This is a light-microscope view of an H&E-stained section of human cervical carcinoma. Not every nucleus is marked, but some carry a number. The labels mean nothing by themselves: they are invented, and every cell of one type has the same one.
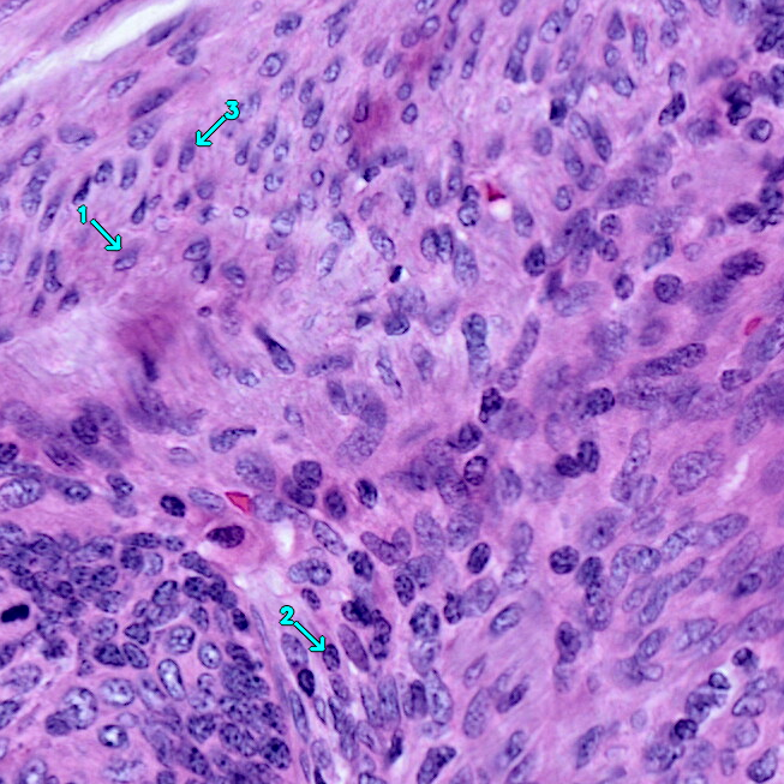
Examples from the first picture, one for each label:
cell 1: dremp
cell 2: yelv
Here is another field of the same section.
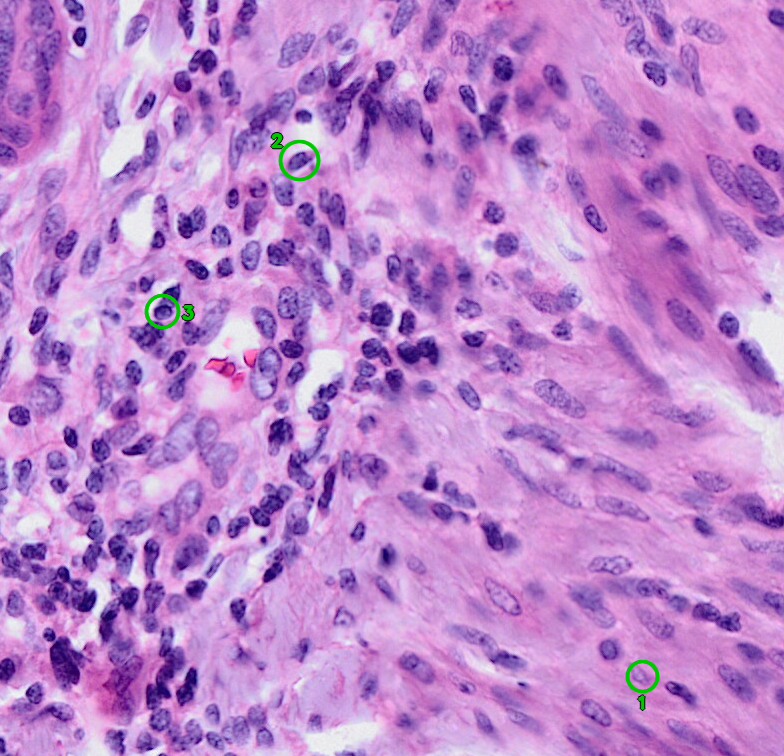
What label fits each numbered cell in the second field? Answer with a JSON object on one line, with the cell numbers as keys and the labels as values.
{"1": "dremp", "2": "yelv", "3": "yelv"}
